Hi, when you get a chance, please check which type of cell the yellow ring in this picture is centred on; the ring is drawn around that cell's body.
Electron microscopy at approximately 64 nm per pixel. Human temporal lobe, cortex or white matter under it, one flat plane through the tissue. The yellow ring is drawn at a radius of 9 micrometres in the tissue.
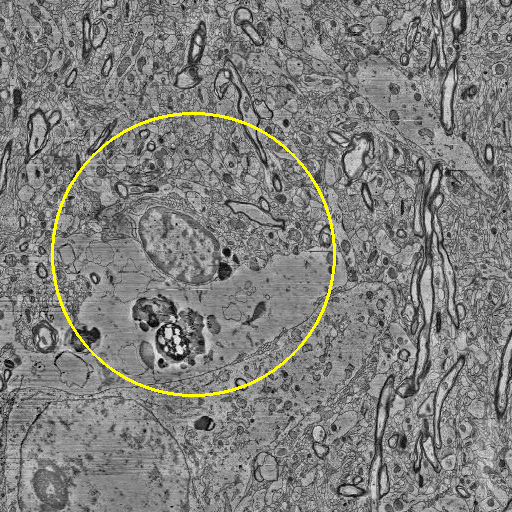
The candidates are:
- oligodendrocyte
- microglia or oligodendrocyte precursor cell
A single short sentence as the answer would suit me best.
The ring is drawn around the body of a microglial cell or oligodendrocyte precursor cell.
